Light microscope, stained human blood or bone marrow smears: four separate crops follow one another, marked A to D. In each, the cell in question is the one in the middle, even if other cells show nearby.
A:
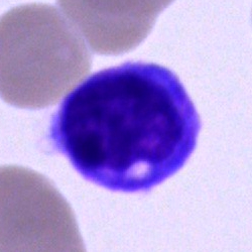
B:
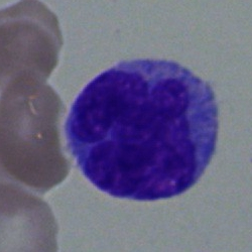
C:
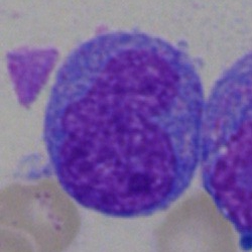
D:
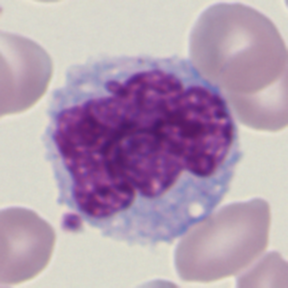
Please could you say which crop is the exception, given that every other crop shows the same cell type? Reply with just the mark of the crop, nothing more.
C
